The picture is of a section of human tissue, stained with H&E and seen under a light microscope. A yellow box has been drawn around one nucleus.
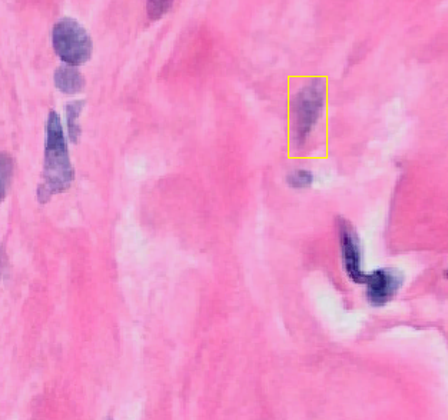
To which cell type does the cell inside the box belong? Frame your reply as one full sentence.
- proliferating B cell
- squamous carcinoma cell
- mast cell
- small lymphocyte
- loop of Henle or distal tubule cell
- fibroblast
The category to which the cell inside the box belongs is that of a fibroblast.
